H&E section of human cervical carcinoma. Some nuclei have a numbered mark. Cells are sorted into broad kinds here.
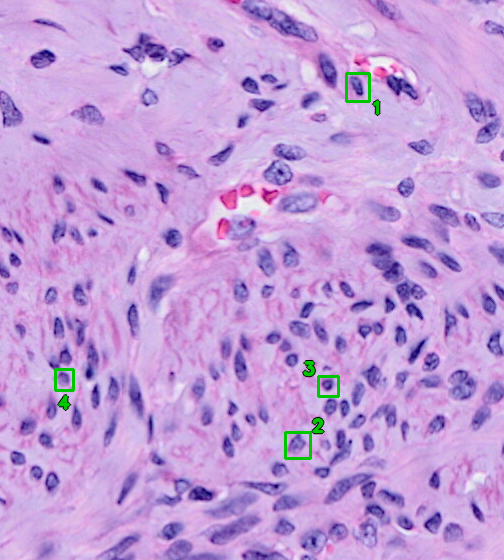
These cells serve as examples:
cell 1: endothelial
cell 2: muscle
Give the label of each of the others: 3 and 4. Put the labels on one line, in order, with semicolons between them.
muscle; muscle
